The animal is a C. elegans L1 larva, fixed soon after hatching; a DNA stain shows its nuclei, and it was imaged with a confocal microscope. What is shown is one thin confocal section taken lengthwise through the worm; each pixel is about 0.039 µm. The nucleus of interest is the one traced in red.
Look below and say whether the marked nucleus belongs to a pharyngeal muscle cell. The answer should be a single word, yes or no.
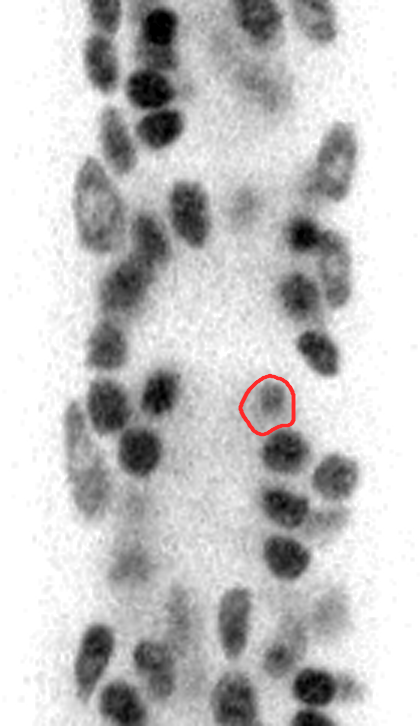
no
